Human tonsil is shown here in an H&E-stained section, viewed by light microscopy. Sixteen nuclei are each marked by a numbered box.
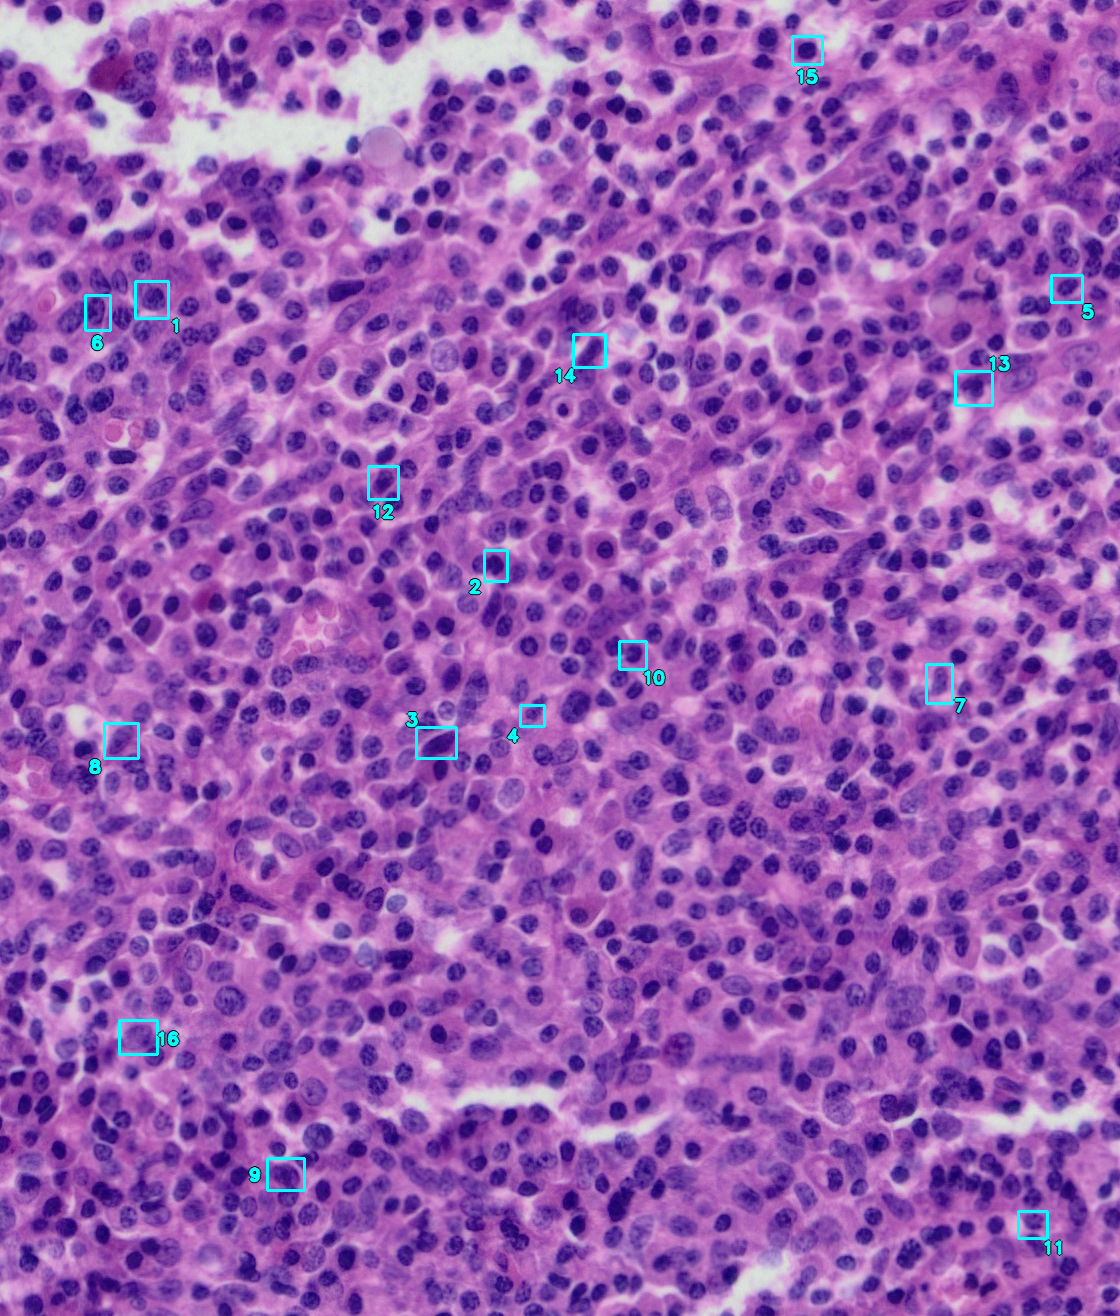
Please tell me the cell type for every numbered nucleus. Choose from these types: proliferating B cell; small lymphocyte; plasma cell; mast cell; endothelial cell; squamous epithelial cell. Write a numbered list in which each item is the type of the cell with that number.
1. plasma cell
2. plasma cell
3. squamous epithelial cell
4. squamous epithelial cell
5. plasma cell
6. plasma cell
7. squamous epithelial cell
8. squamous epithelial cell
9. squamous epithelial cell
10. plasma cell
11. plasma cell
12. plasma cell
13. squamous epithelial cell
14. squamous epithelial cell
15. plasma cell
16. squamous epithelial cell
